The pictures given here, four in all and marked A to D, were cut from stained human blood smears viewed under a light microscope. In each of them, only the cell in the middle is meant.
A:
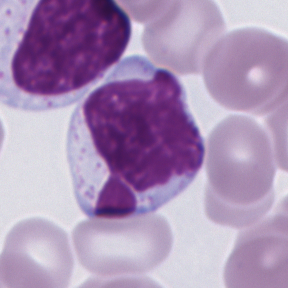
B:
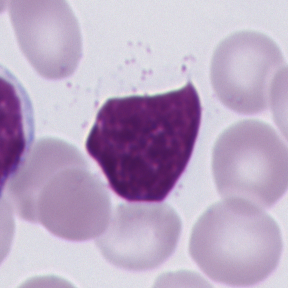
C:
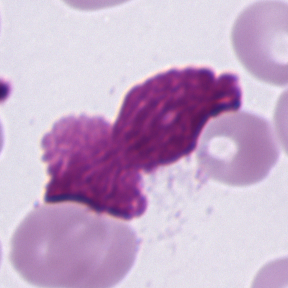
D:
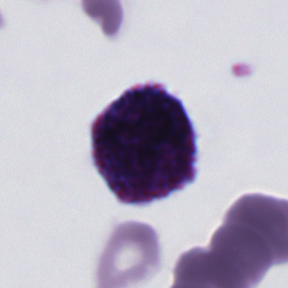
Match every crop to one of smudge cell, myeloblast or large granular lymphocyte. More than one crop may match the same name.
A: large granular lymphocyte
B: smudge cell
C: smudge cell
D: myeloblast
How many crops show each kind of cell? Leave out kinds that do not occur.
smudge cell: 2
large granular lymphocyte: 1
myeloblast: 1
